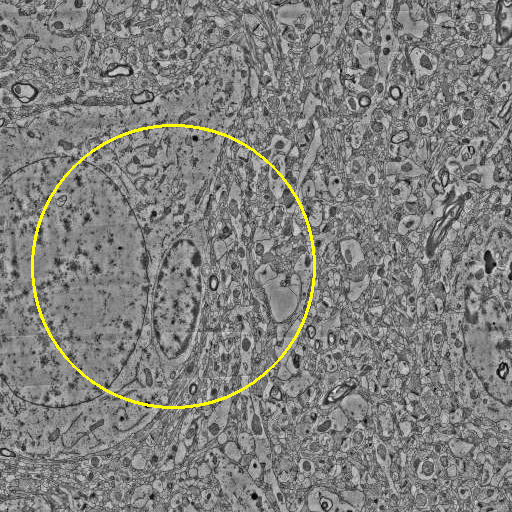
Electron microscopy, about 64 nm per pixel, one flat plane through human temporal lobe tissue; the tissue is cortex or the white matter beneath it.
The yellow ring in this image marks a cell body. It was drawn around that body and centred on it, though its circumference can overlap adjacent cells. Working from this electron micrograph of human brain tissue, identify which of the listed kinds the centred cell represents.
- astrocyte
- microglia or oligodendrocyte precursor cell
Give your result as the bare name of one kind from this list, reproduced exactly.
microglia or oligodendrocyte precursor cell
